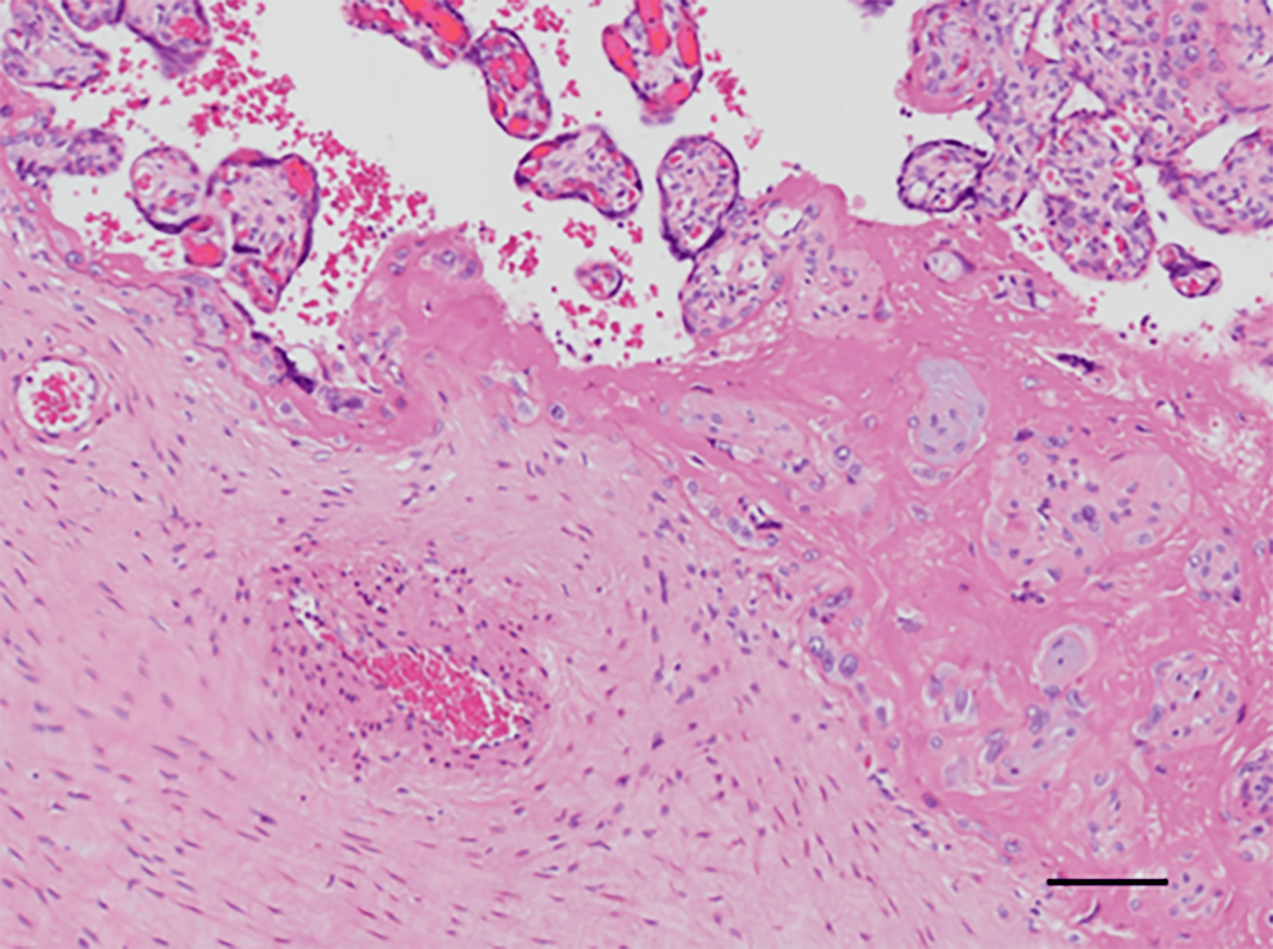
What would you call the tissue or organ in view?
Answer: placenta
